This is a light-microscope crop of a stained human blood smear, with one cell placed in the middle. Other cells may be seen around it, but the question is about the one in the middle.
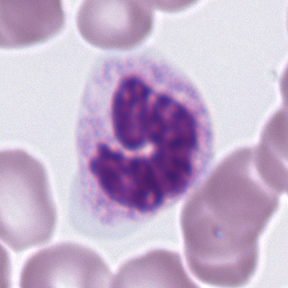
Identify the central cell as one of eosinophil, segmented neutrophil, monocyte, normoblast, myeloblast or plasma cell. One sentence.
The cell in the middle of this crop is a segmented neutrophil.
